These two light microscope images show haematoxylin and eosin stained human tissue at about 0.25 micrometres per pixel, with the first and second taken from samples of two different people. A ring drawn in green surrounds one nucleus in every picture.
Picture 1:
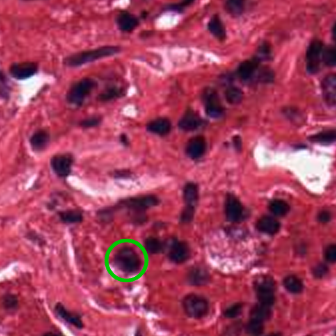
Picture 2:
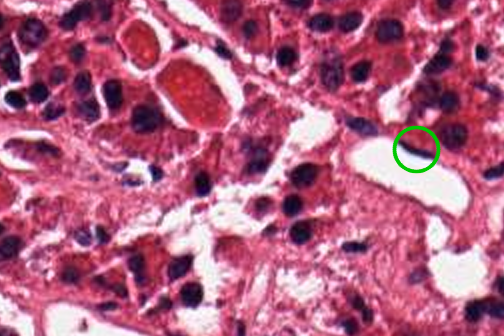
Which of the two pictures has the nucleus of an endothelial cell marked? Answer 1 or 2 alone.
2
